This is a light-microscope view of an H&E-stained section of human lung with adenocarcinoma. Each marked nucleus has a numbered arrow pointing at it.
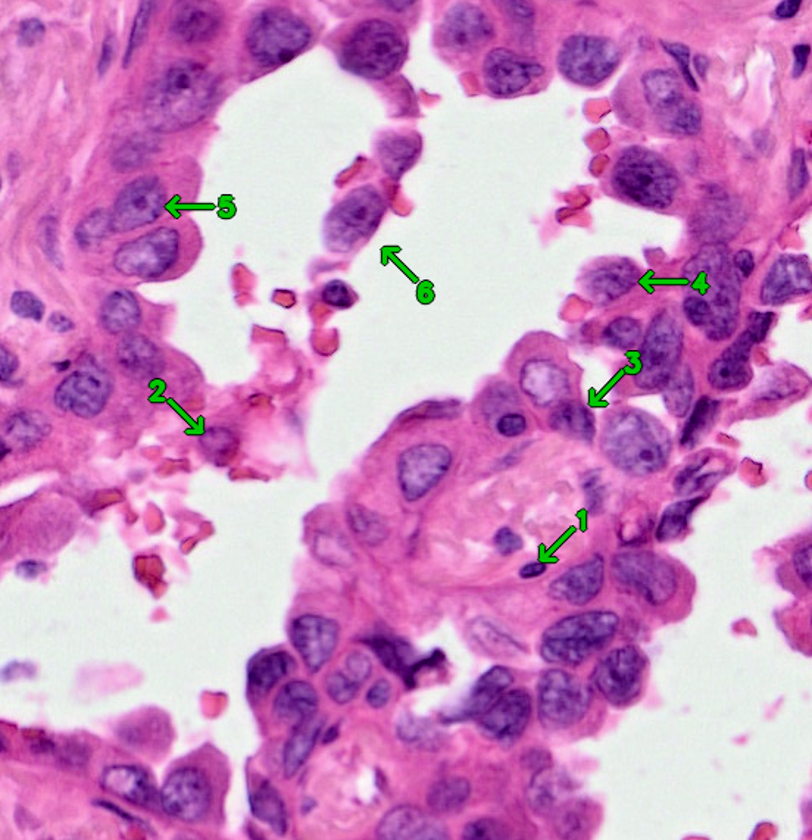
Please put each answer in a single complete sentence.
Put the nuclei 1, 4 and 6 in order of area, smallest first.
Smallest first, the nuclei run 1, 4, 6.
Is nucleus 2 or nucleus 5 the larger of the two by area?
At about 2 times the area of nucleus 2, nucleus 5 is the larger of the two.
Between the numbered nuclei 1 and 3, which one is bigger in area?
Nucleus 3 covers more area, about 4 times as much as nucleus 1.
